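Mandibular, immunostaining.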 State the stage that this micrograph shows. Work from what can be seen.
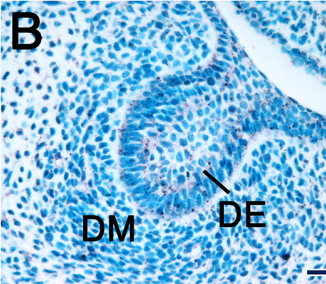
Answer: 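The epithelium forms a rounded knob that has grown down into the mesenchyme. Mesenchymal cells are packed densely around the epithelial knob.
Bud.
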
